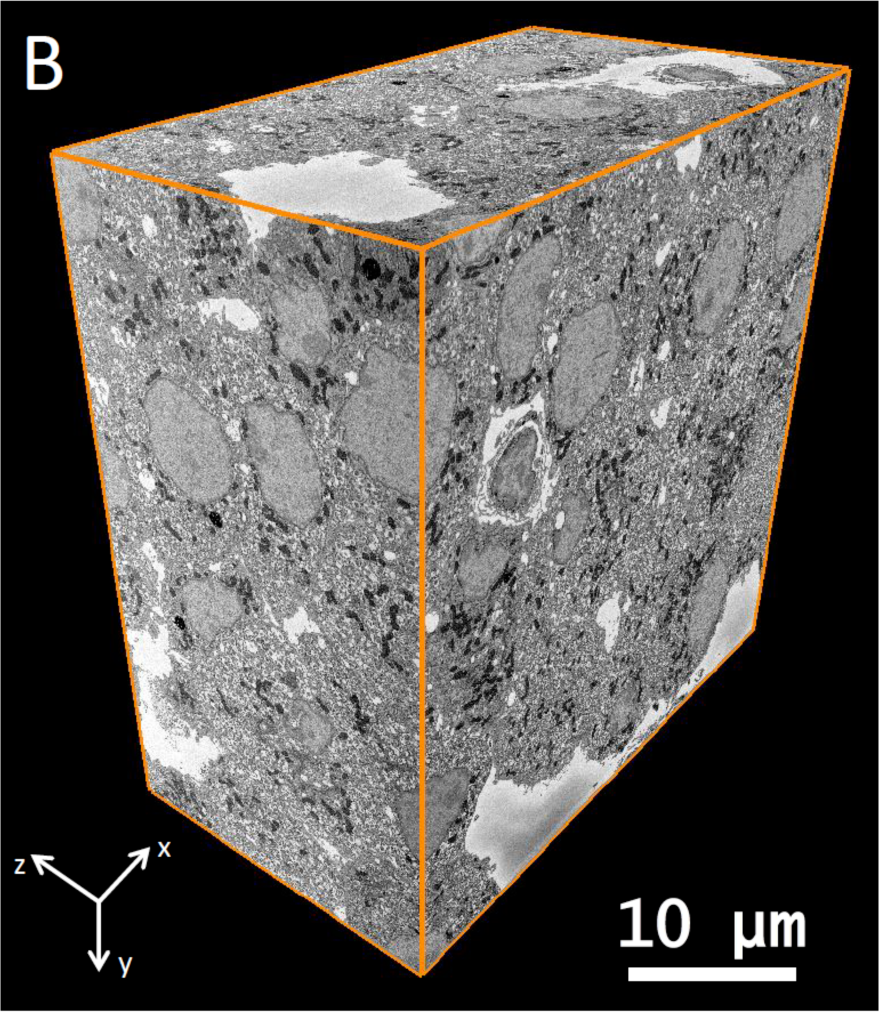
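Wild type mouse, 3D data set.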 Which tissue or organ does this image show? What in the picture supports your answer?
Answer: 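Islet. Densely packed cells with round to oval nuclei fill the block. The cytoplasm is crowded with small dark granules. Pale, light-grey spaces lie scattered between the cells.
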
